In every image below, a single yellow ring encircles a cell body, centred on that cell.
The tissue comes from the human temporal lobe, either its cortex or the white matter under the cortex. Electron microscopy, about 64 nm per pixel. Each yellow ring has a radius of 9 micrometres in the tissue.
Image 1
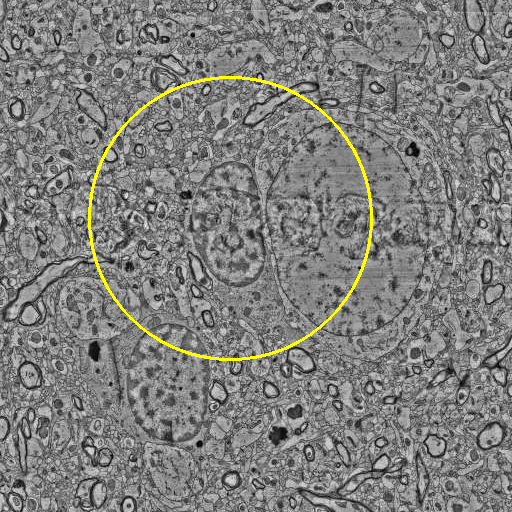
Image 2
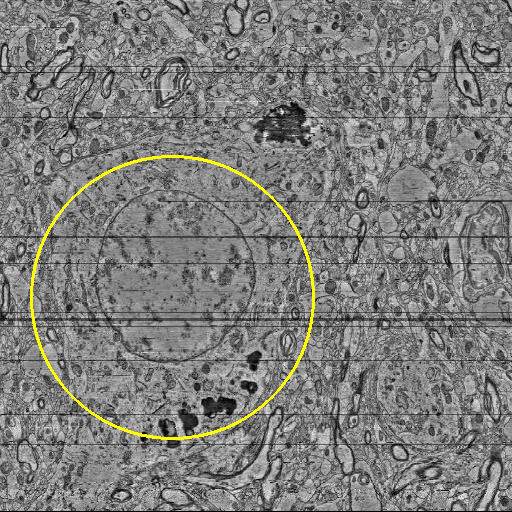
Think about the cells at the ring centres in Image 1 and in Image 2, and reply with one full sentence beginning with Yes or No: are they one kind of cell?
No, the cells centred in the rings of Image 1 and Image 2 are two kinds of cell.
